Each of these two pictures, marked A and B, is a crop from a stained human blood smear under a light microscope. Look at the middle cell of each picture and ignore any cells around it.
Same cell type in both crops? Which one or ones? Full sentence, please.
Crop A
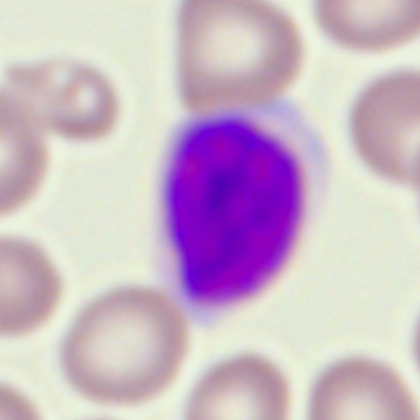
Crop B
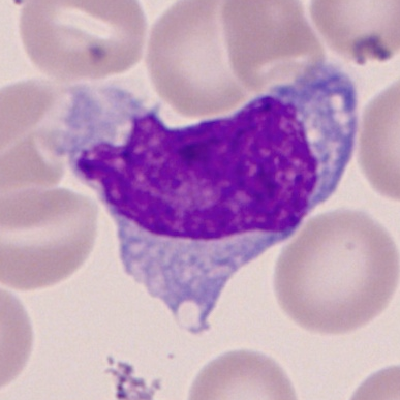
No, crop A matches a lymphocyte and crop B matches a monocyte.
